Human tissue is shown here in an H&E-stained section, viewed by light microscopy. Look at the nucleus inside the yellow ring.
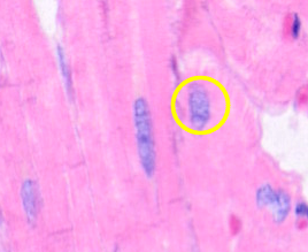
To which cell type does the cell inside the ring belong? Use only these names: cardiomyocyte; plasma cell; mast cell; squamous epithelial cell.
cardiomyocyte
